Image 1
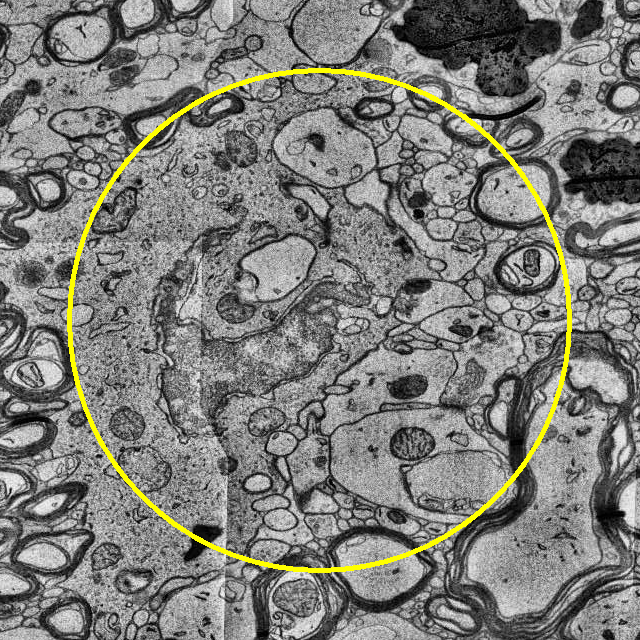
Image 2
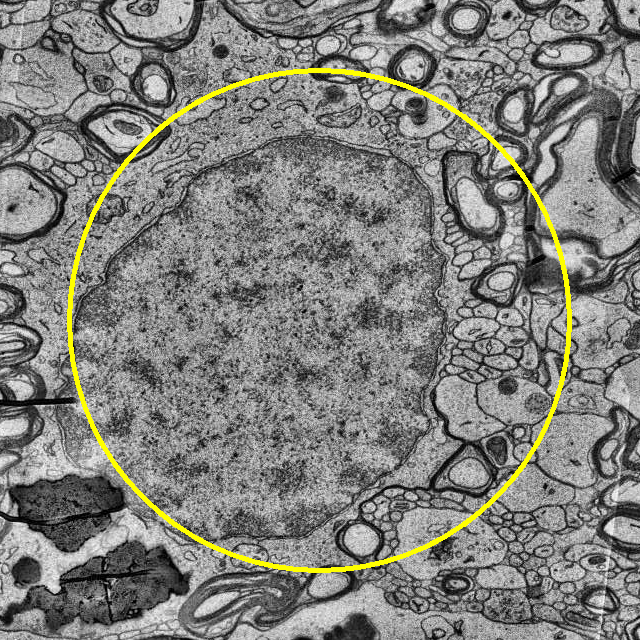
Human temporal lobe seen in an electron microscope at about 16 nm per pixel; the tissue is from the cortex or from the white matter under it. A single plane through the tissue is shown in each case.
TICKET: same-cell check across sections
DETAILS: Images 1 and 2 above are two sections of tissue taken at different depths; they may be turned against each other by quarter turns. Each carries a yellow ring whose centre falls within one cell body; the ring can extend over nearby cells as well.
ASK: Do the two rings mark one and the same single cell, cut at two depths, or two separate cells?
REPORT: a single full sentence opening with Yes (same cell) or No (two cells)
Yes, the two rings mark one cell and not separate cells.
